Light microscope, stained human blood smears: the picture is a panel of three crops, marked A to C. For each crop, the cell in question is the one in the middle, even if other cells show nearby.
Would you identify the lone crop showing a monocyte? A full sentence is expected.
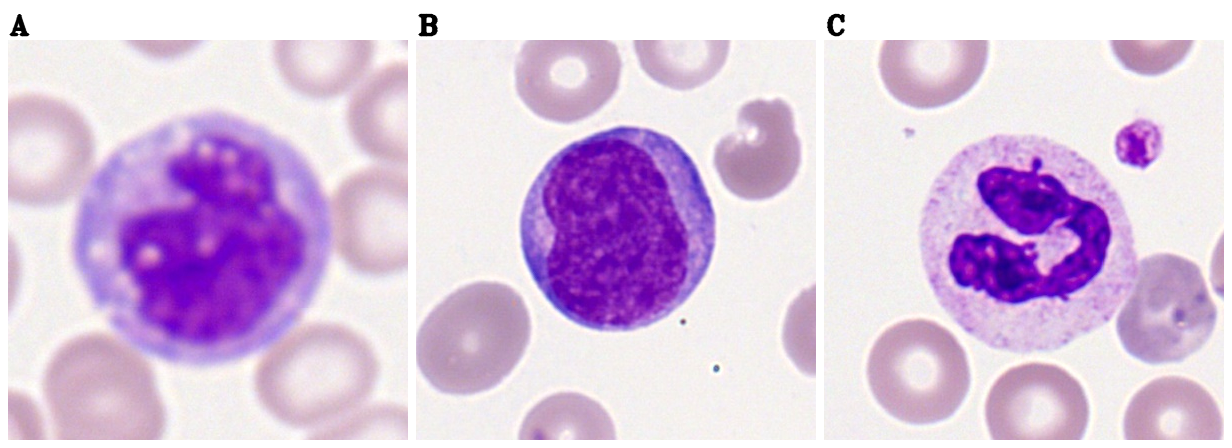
Look at crop A; that is the one with a monocyte in its center.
